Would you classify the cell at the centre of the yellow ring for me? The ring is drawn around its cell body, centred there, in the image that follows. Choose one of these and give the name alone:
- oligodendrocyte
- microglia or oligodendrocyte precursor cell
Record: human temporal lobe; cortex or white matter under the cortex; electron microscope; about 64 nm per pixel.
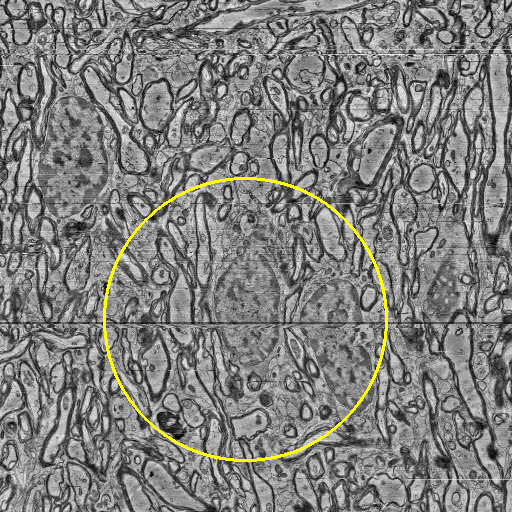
oligodendrocyte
